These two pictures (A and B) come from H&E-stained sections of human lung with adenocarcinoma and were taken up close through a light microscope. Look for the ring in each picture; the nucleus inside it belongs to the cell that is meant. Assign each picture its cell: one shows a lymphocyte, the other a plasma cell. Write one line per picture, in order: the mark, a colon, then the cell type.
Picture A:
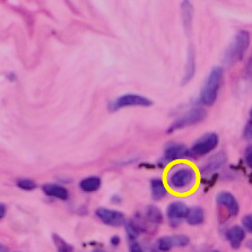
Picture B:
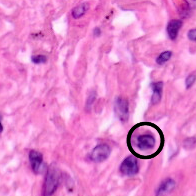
A: lymphocyte
B: plasma cell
